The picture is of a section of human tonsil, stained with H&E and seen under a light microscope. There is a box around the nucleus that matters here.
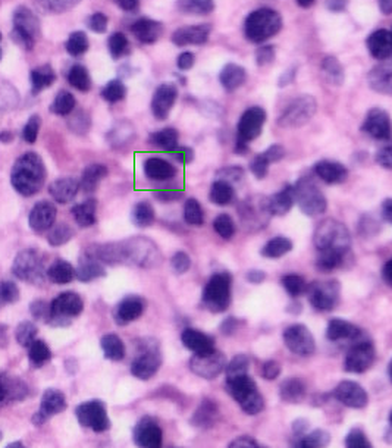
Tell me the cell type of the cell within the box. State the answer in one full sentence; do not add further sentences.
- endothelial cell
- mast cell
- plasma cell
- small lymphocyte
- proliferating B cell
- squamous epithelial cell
In the tissue at hand, the cell within the box is a proliferating B cell.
